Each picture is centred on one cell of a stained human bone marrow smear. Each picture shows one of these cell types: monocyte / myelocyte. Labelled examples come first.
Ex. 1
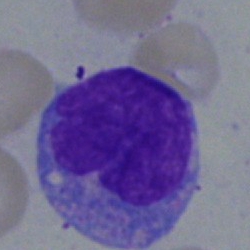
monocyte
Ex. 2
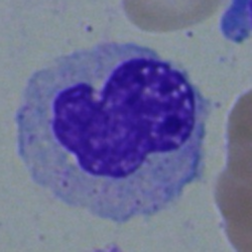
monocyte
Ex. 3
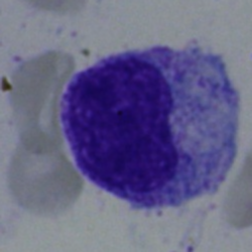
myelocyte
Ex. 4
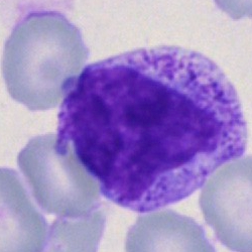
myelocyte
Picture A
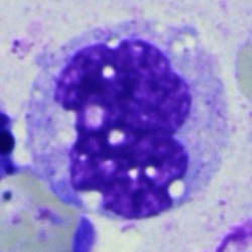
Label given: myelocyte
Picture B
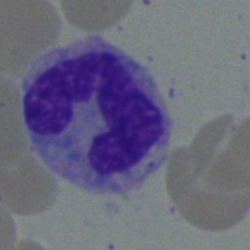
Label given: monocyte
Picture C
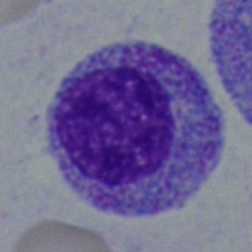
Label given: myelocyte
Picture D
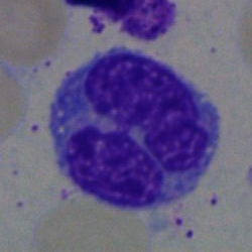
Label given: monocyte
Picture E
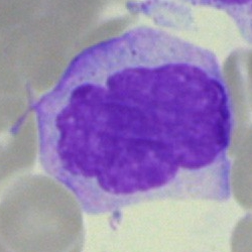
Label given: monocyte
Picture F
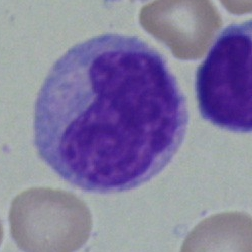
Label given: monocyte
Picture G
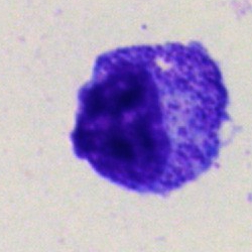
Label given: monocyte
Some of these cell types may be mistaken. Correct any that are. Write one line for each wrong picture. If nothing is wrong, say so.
Wrong: A (myelocyte); correct: monocyte
Wrong: G (monocyte); correct: myelocyte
